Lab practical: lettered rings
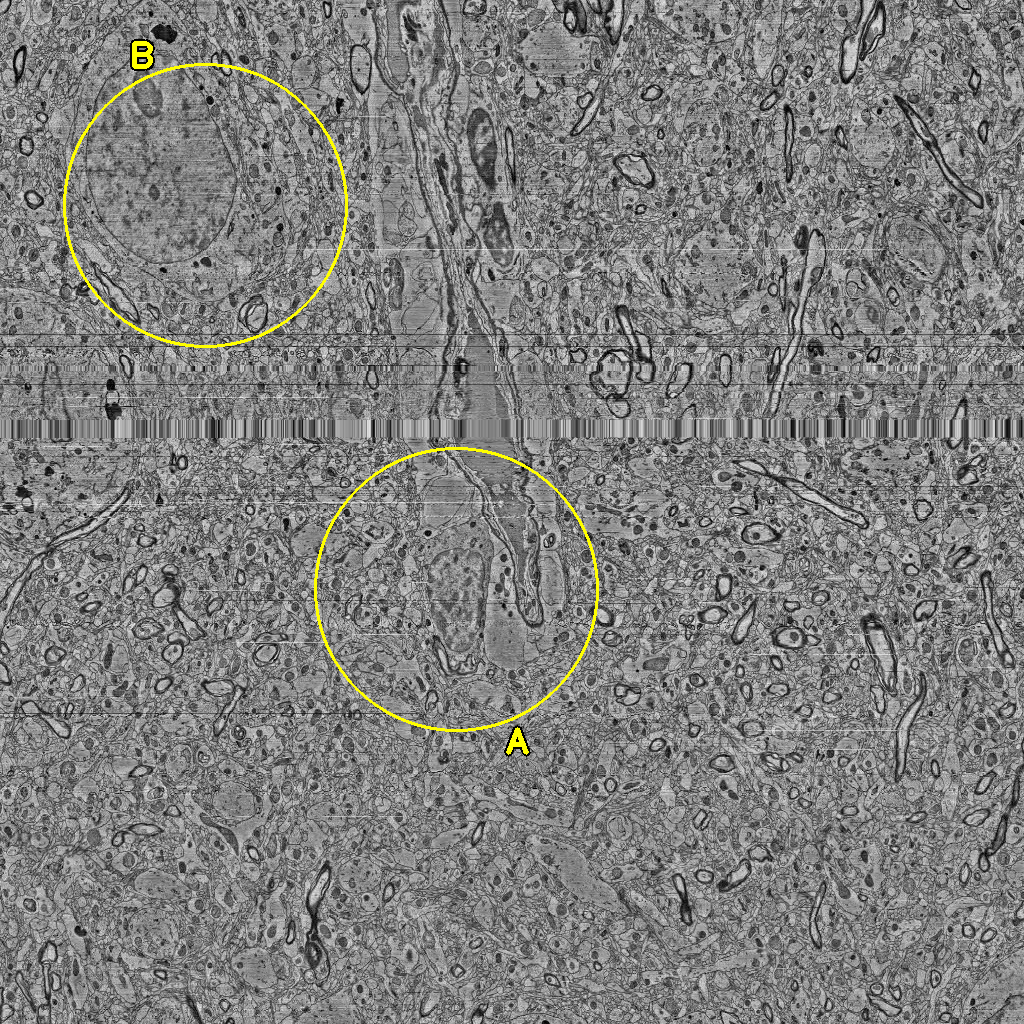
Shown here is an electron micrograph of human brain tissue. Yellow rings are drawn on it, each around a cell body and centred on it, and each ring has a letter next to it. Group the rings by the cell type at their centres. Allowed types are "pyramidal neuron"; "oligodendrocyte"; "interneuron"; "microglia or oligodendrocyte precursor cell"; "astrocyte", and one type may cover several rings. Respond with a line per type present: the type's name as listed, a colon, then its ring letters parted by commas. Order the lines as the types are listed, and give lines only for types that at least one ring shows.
pyramidal neuron: B
oligodendrocyte: A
